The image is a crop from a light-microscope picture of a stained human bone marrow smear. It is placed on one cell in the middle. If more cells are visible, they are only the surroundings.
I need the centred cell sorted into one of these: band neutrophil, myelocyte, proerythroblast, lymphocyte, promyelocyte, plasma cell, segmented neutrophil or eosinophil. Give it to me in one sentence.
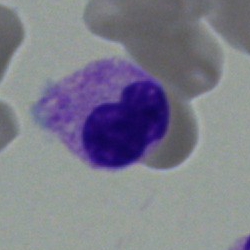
Among the cells in view, the one in the middle is a band neutrophil.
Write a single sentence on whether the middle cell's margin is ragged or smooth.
The edge is uneven, and this unevenness takes the form of ragged stretches or projections.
